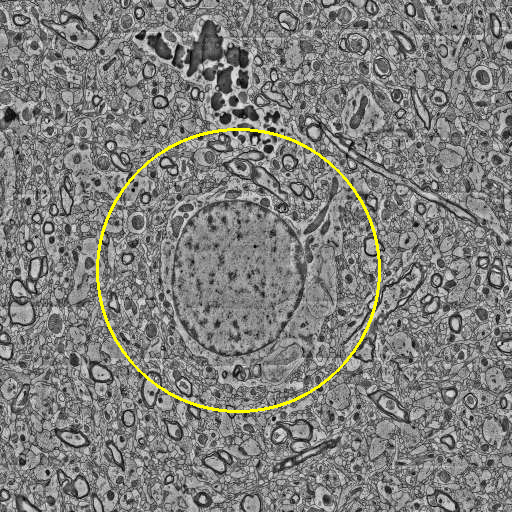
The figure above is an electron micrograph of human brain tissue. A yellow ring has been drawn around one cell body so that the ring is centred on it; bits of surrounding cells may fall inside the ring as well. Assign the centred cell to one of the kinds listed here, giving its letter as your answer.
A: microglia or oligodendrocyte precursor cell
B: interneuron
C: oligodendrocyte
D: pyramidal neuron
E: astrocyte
E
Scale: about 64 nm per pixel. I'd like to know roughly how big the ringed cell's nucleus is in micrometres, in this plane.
Approximately 10 x 8 micrometres in this plane.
